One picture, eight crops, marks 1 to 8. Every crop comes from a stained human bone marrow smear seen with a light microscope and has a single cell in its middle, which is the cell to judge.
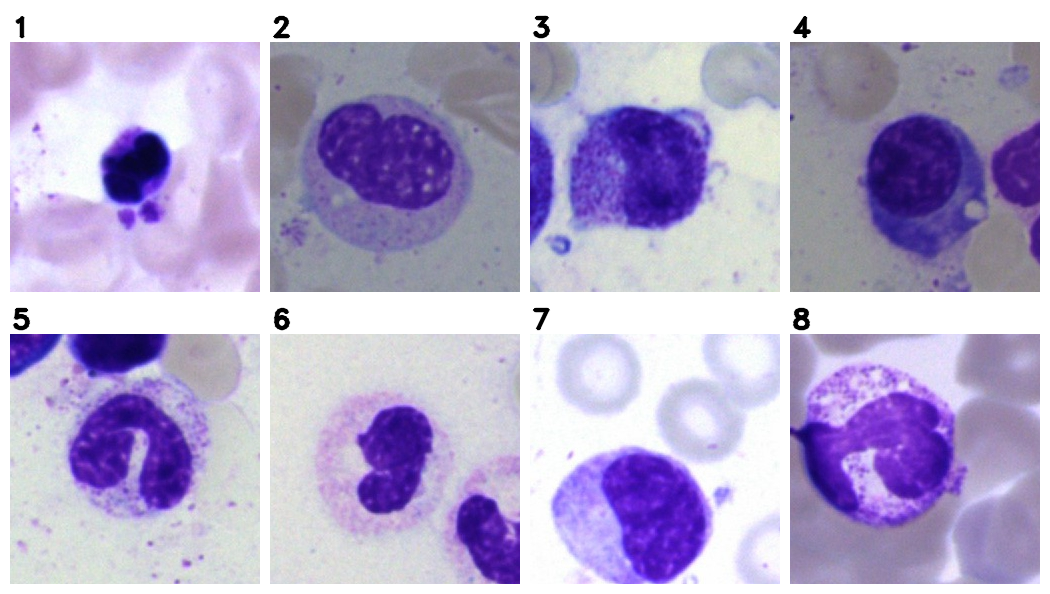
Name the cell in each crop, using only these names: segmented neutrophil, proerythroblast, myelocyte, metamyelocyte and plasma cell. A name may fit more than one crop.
1: segmented neutrophil
2: metamyelocyte
3: metamyelocyte
4: plasma cell
5: segmented neutrophil
6: segmented neutrophil
7: metamyelocyte
8: segmented neutrophil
